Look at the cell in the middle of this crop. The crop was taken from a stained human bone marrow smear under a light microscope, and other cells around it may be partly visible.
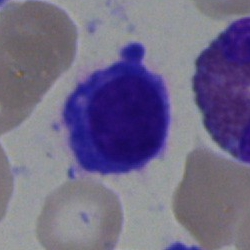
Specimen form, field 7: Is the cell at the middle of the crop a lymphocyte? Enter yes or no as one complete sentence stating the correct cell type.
No, the centred cell is a plasma cell instead of a lymphocyte.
